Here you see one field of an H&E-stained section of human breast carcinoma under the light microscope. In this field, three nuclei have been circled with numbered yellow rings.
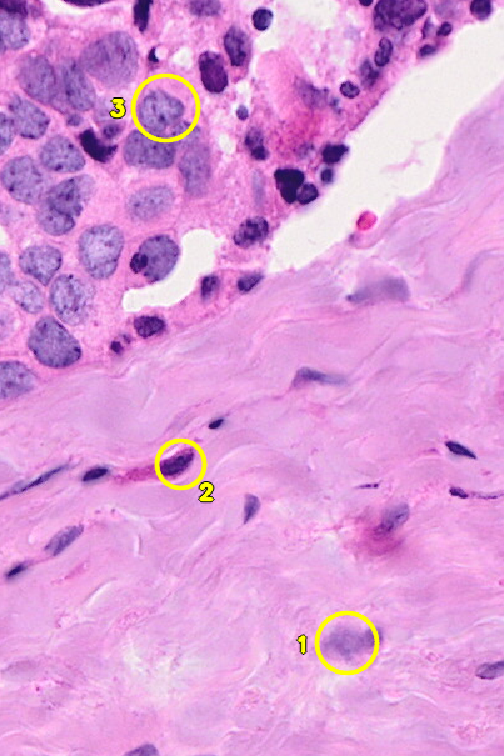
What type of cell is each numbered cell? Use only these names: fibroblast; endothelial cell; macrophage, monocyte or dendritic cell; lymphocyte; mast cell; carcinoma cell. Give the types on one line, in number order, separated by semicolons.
fibroblast; mast cell; carcinoma cell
